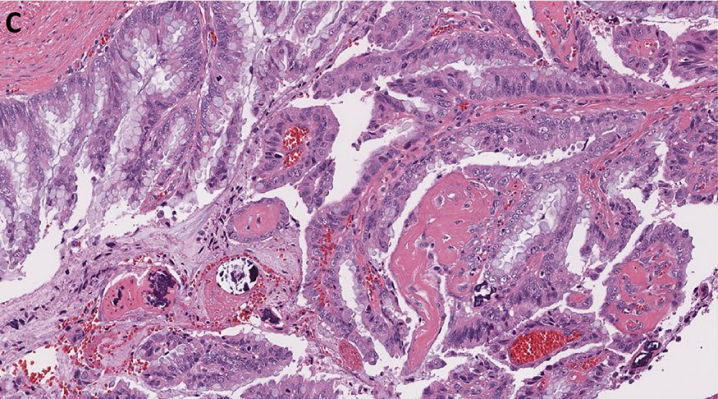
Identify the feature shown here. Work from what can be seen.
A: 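Epithelium-covered fronds project into open spaces. Fronds have cores of pink stroma and blood vessels. Lining cells are columnar, with pale mucinous cytoplasm in places.
Papillary.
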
